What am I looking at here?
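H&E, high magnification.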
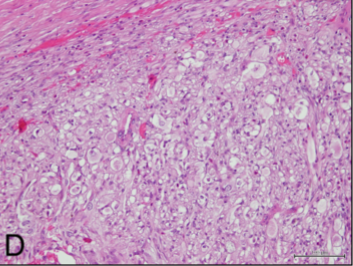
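Along the upper left edge runs a band of elongated cells with slender nuclei, set in pink fibrillar tissue. Scattered small vessels with red cells are present. The cells are crowded and mixed together without forming glands, and their sizes and cytoplasmic appearance differ noticeably across the field.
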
